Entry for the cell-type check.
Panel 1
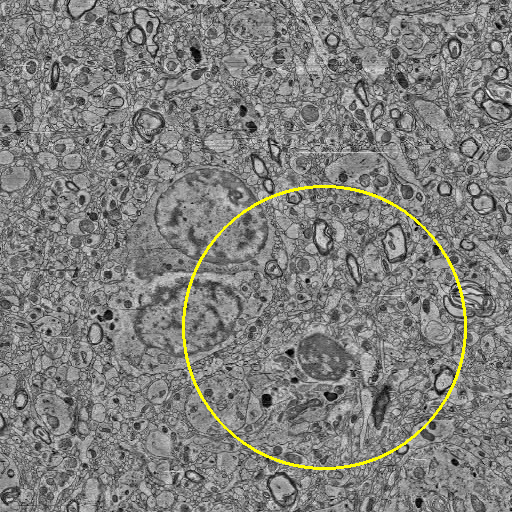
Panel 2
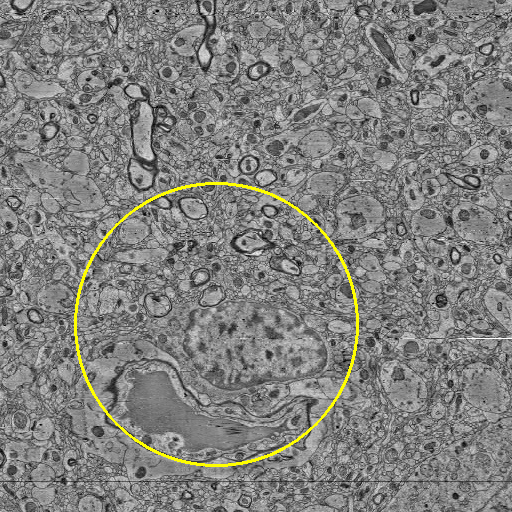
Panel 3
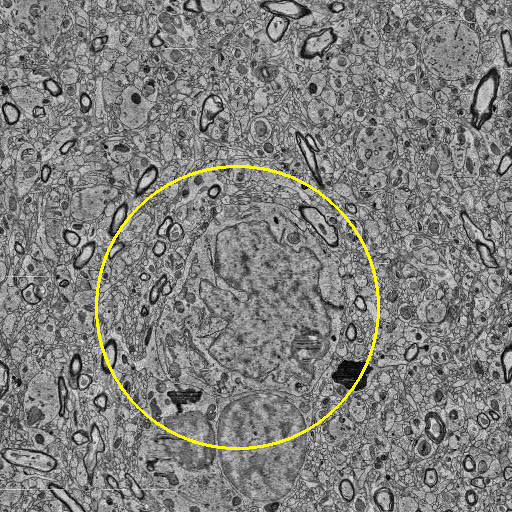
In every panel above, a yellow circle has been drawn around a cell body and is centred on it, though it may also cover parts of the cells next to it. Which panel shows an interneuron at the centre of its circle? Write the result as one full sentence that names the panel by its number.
Panel 3 shows it at the centre of its circle.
